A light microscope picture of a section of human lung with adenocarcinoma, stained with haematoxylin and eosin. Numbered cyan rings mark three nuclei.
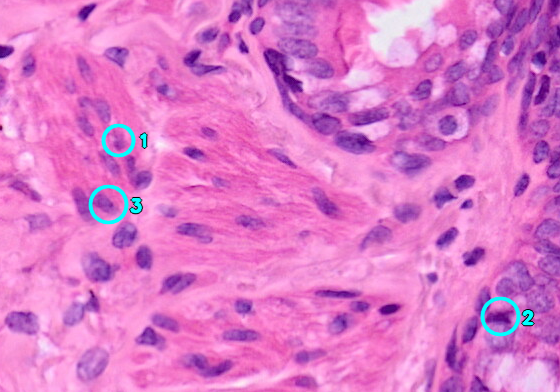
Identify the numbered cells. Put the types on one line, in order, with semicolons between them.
smooth muscle cell or pericyte; ciliated epithelial cell; smooth muscle cell or pericyte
